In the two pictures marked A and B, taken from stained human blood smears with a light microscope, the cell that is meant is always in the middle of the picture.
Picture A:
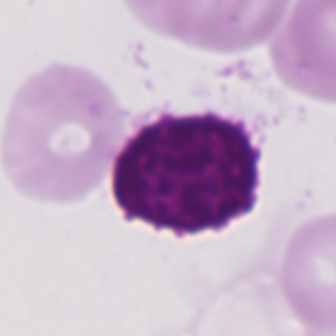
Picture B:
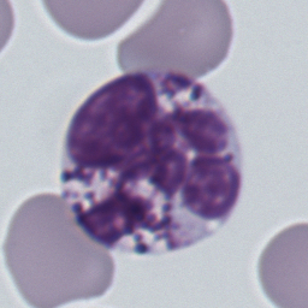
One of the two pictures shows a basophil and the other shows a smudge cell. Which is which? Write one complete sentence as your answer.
Picture B shows a basophil, while picture A shows a smudge cell.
